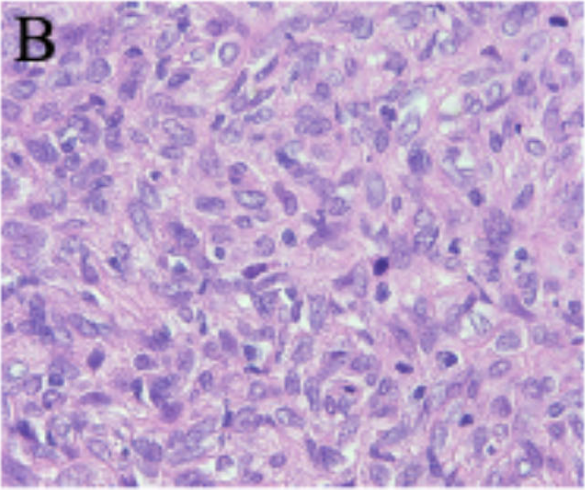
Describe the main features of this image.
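Tumor cells at high power, oval to spindle-shaped, crowded in loose short bundles with pale pink fibrillary material between them. Nuclei vary in size and shape, with fine to vesicular chromatin; some are dark and hyperchromatic. Cell borders are indistinct.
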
